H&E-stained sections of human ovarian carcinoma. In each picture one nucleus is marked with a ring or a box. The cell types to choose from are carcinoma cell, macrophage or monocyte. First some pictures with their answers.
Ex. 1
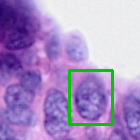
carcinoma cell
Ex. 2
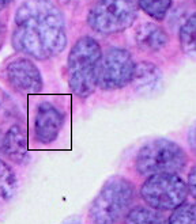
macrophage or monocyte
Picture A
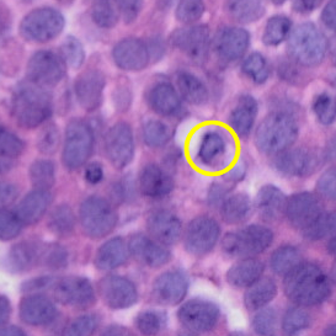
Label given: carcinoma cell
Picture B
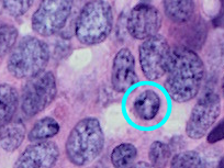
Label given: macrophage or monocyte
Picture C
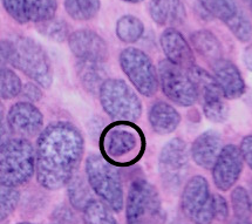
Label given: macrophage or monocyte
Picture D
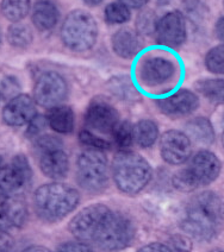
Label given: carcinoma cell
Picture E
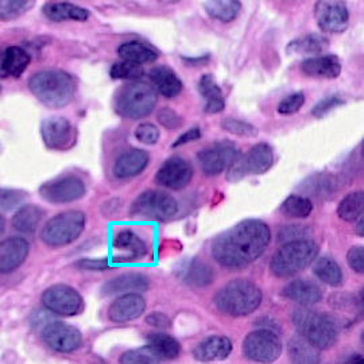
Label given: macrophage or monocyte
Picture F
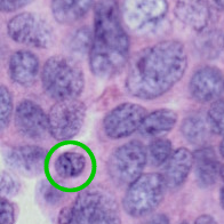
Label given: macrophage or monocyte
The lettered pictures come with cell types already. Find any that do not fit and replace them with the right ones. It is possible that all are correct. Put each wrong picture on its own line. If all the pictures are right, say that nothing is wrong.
A should be macrophage or monocyte, not carcinoma cell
